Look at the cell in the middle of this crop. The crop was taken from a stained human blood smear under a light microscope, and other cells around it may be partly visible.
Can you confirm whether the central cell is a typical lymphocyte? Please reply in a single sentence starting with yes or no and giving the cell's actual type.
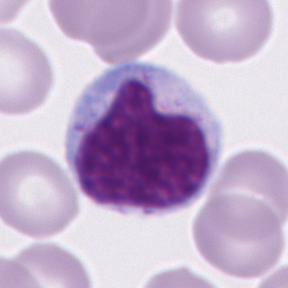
No, the cell placed in the centre is a large granular lymphocyte and is not a typical lymphocyte.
